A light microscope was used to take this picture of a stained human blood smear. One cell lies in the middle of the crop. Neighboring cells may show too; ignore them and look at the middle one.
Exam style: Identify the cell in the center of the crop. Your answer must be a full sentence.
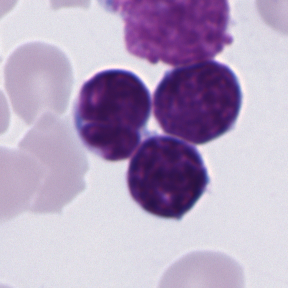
In the centre of this crop there is a blast.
